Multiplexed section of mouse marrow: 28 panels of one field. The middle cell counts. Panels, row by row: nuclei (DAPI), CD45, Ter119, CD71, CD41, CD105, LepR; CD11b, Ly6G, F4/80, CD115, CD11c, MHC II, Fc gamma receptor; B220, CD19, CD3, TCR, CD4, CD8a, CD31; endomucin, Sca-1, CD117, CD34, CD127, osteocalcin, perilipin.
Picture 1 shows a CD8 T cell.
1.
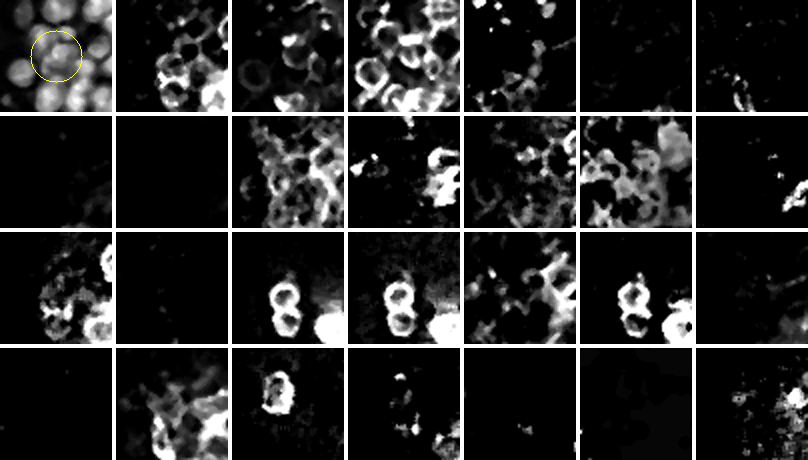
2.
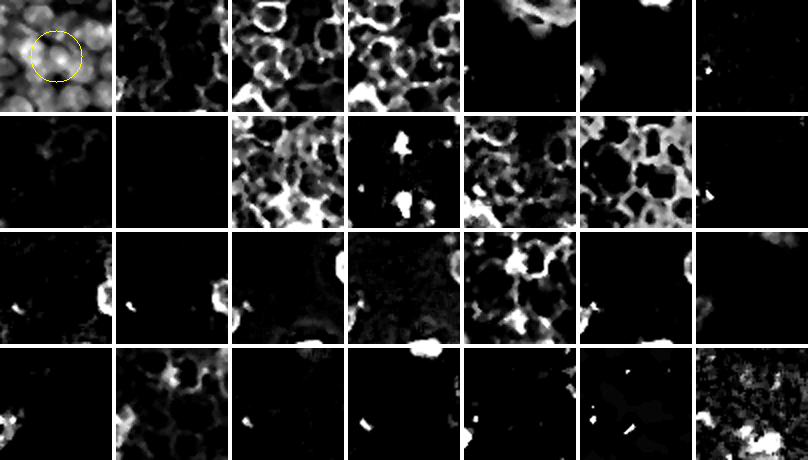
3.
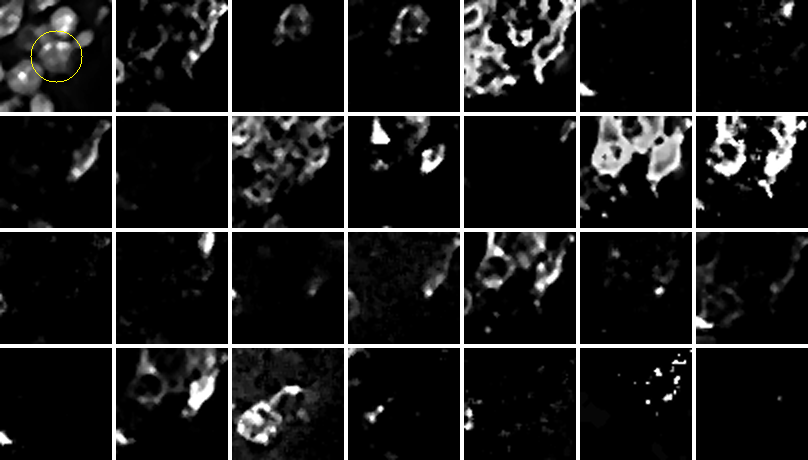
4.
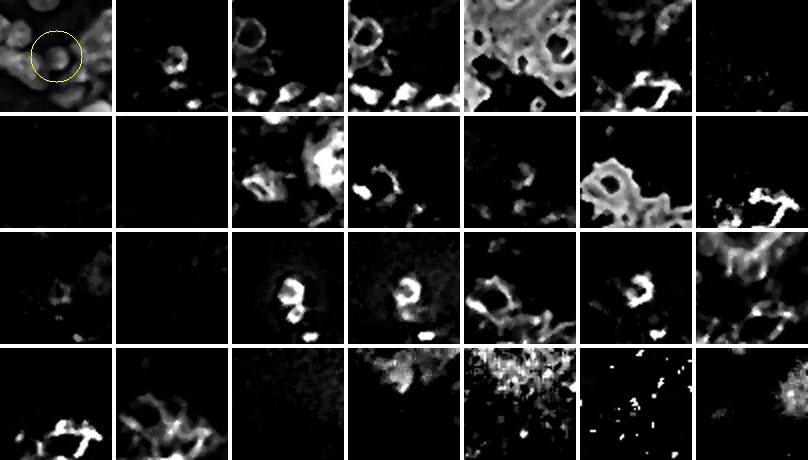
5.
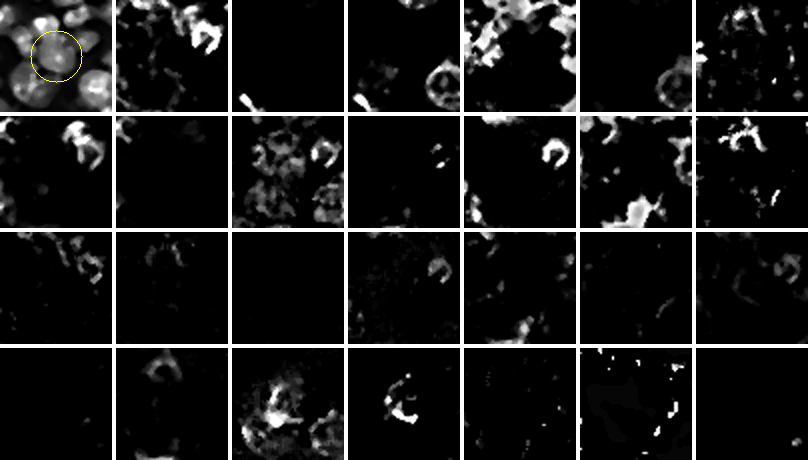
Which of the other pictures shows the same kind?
Picture 4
